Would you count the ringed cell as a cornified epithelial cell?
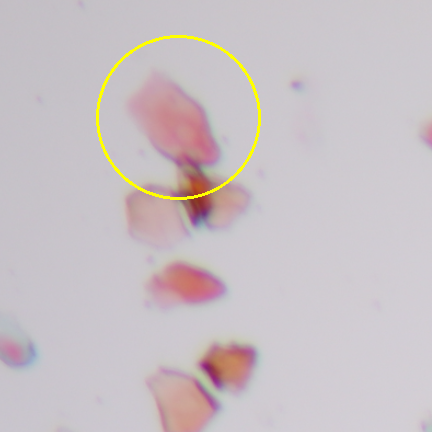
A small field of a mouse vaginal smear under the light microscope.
Yes, I would count it as a cornified epithelial cell.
